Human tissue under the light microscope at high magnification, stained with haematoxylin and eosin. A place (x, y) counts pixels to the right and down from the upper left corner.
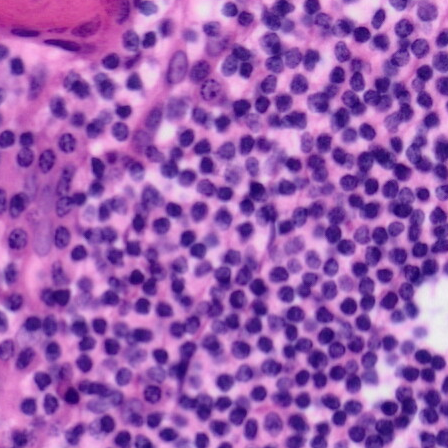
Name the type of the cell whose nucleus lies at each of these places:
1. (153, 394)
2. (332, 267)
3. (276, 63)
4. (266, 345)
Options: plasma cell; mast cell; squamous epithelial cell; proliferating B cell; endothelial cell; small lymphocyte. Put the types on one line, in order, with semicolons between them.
plasma cell; small lymphocyte; small lymphocyte; small lymphocyte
